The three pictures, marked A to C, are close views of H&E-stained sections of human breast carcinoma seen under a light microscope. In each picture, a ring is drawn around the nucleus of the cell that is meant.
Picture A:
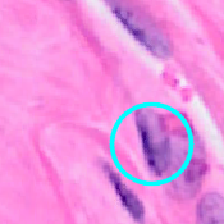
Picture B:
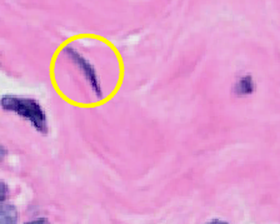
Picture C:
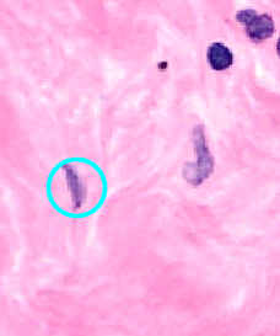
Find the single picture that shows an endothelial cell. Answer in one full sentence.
It is picture A that shows the endothelial cell.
